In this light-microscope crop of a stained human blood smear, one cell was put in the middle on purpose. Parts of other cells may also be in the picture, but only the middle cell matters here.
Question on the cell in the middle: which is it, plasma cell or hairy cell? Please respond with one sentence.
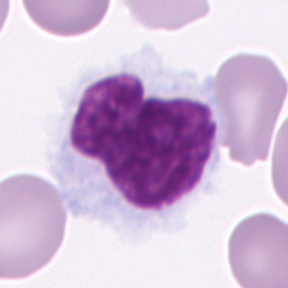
Among the cells in view, the one in the middle is a hairy cell.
